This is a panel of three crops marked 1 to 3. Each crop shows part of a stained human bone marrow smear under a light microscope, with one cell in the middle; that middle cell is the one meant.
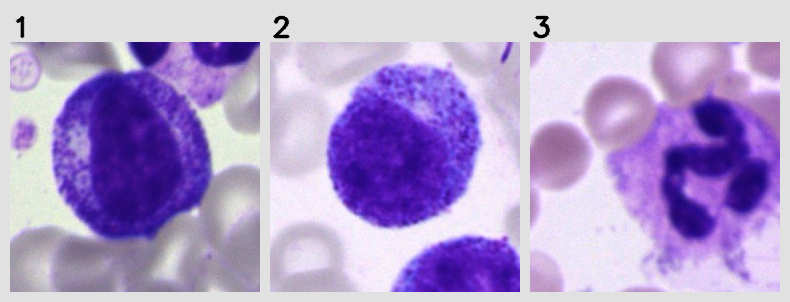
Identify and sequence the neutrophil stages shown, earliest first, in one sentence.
In terms of maturity, from lowest to highest, the order reads crop 2 (a promyelocyte), crop 1 (a myelocyte) and crop 3 (a segmented neutrophil).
